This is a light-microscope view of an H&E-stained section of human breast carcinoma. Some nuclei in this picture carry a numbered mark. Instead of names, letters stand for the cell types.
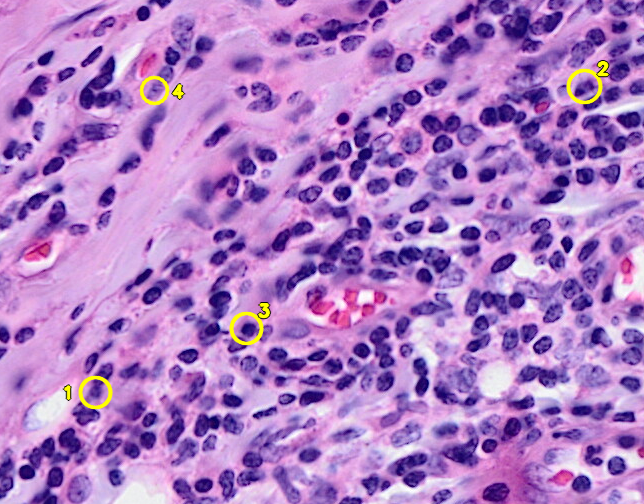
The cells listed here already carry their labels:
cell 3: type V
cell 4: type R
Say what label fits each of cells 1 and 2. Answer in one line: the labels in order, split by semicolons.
type V; type V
